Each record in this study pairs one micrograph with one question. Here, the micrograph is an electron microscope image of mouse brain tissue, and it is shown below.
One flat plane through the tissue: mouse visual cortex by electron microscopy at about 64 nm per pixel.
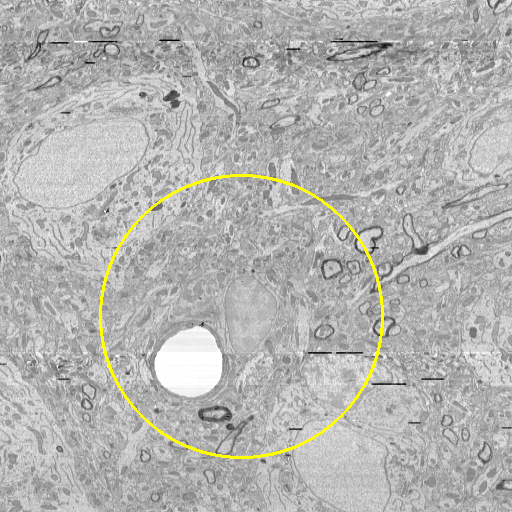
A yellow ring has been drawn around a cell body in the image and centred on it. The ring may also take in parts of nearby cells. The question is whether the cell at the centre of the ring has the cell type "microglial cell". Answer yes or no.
yes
